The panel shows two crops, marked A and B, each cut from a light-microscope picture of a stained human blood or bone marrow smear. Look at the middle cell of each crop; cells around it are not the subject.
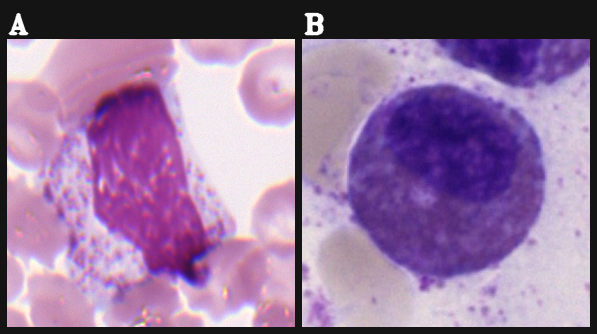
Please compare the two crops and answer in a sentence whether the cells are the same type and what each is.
No, a myelocyte is shown in crop A and an eosinophil in crop B.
